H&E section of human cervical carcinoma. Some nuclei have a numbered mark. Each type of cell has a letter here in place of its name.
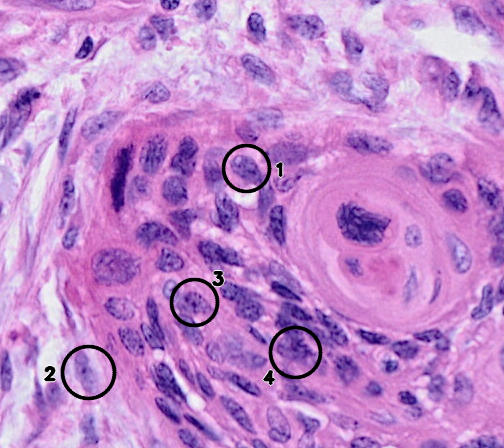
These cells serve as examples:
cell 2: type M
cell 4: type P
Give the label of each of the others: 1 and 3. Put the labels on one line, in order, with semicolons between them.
type P; type P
